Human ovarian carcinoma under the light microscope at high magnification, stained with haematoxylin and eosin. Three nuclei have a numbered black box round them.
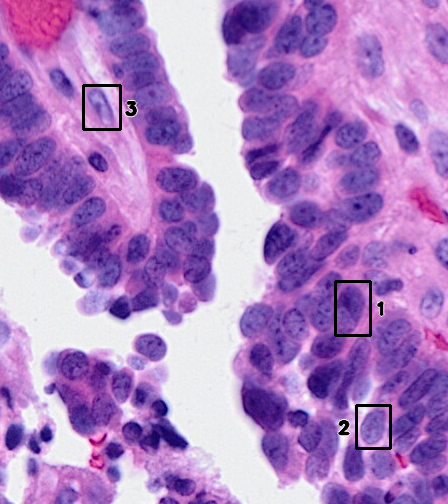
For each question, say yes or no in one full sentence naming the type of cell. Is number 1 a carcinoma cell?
Yes, number 1 corresponds to a carcinoma cell.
